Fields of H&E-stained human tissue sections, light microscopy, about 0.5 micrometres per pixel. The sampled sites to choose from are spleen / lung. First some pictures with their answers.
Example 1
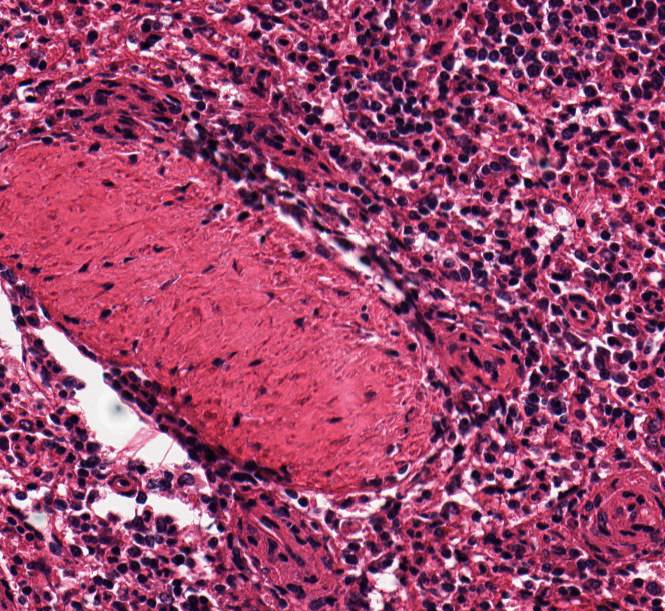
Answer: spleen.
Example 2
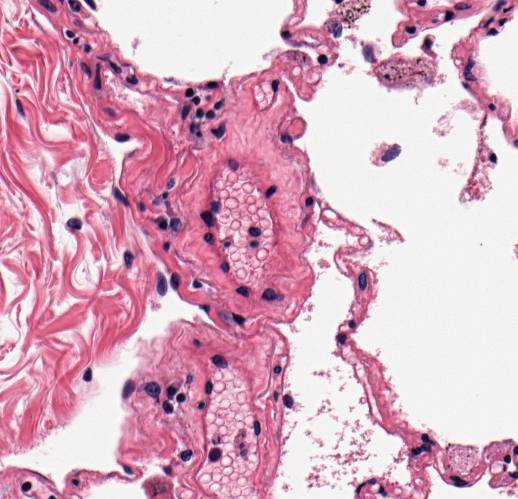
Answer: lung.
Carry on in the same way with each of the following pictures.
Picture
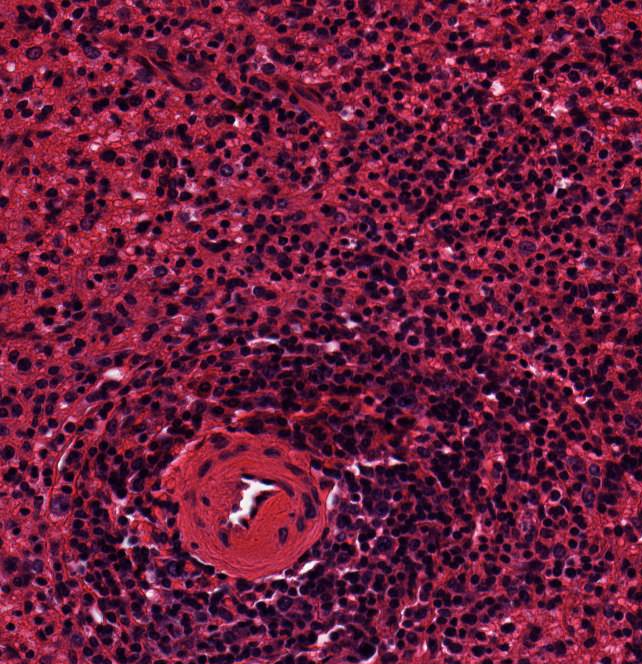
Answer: spleen.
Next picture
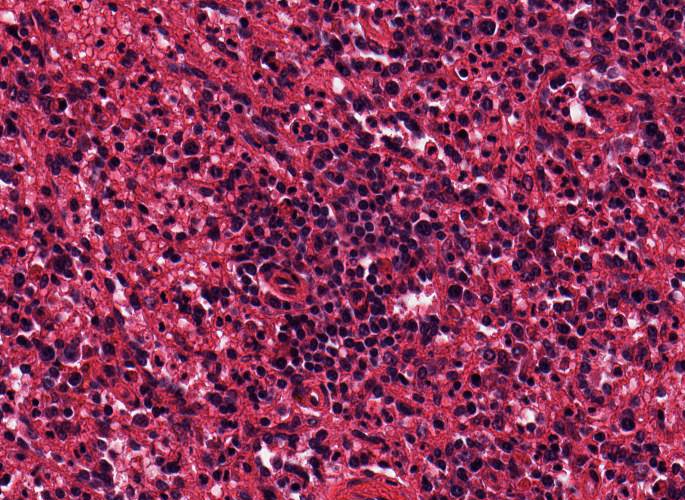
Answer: spleen.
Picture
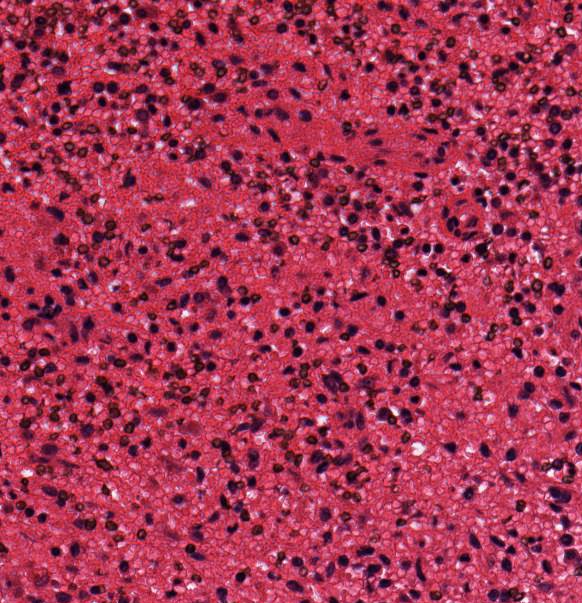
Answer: spleen.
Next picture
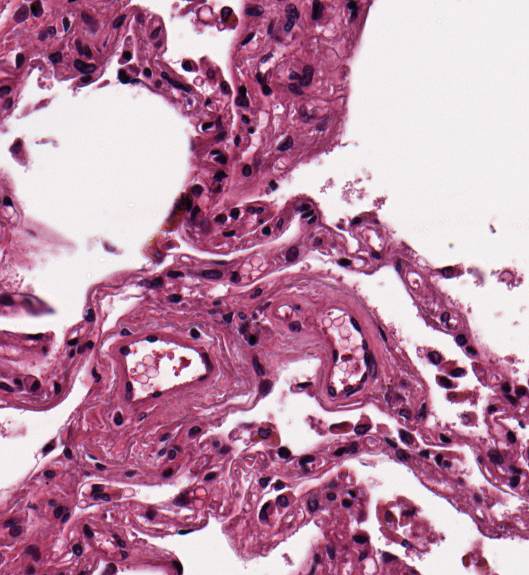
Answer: lung.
